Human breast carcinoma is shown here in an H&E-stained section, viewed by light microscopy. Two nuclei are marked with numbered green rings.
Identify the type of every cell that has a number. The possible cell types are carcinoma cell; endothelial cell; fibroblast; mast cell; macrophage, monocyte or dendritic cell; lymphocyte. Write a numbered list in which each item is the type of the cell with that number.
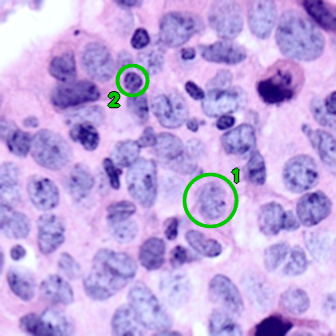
1. carcinoma cell
2. lymphocyte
